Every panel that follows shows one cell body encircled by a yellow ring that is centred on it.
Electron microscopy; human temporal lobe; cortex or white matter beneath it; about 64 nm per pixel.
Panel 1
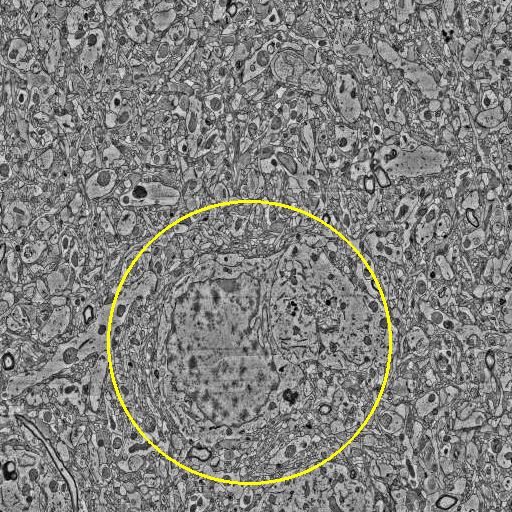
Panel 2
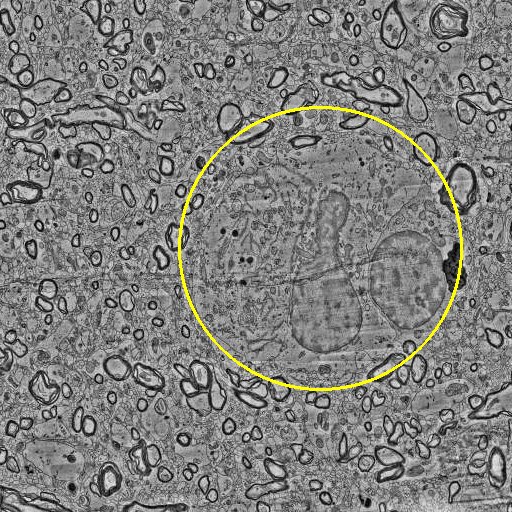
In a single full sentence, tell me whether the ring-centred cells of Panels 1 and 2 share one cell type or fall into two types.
In Panel 1 and Panel 2, the cells at the ring centres fall into two types.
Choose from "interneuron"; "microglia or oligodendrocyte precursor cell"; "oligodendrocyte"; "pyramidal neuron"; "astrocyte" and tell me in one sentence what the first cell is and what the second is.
What the first ring is centred on is an interneuron; what the second ring is centred on is a microglial cell or oligodendrocyte precursor cell.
